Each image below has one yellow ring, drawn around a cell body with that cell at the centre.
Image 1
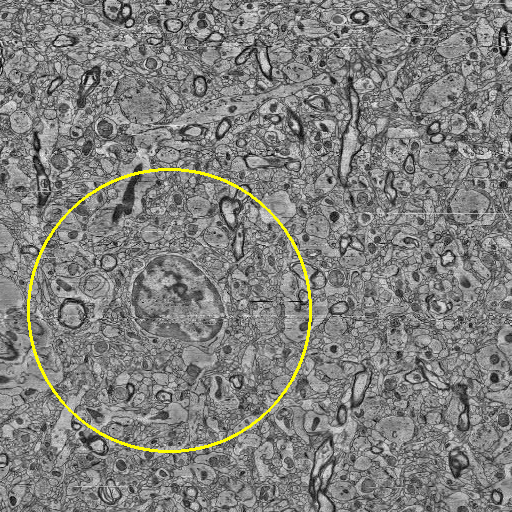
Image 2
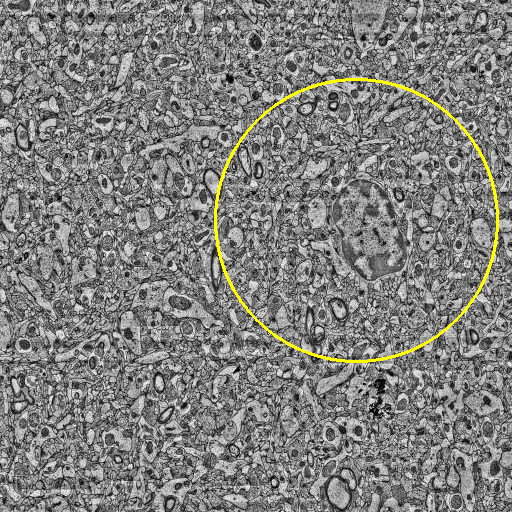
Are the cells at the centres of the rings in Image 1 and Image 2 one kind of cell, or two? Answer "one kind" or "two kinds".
one kind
